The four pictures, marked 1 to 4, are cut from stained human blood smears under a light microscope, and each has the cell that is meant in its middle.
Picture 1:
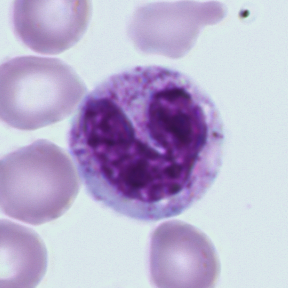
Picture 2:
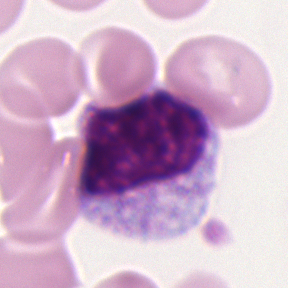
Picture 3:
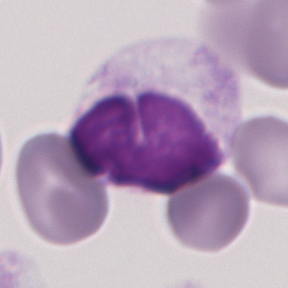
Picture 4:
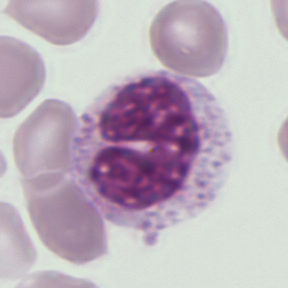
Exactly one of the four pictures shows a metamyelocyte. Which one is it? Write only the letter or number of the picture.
2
